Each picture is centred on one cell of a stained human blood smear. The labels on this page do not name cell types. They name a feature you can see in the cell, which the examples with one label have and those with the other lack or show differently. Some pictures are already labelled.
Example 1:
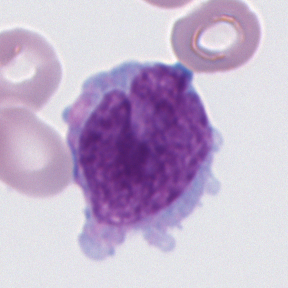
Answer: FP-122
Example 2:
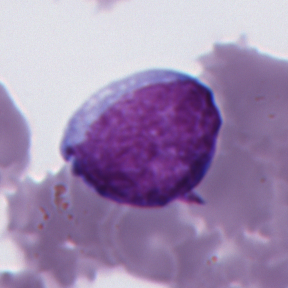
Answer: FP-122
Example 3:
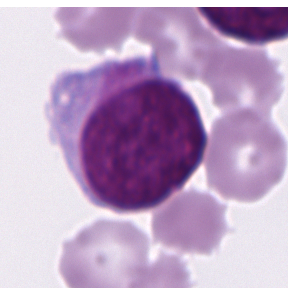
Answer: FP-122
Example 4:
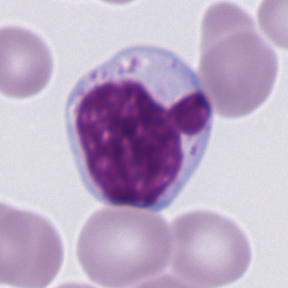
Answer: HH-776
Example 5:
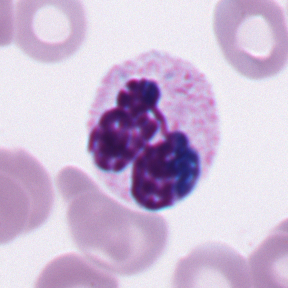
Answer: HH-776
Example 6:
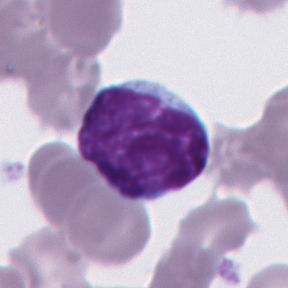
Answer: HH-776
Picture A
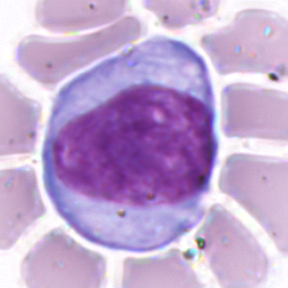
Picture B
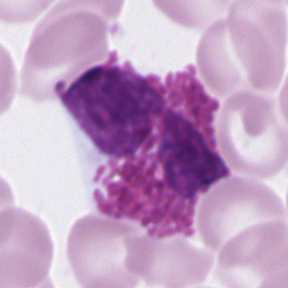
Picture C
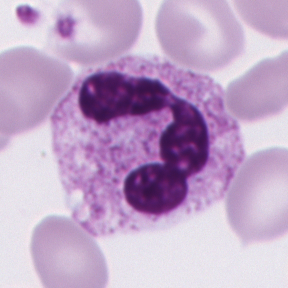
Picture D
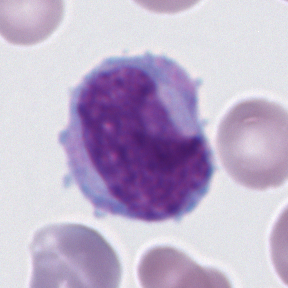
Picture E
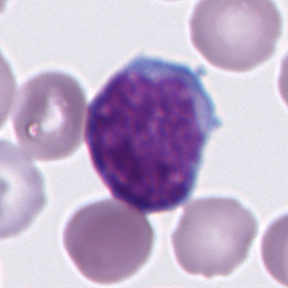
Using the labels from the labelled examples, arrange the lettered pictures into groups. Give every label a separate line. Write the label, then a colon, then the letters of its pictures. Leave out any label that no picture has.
FP-122: B, C, D, E
HH-776: A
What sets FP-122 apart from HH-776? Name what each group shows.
In FP-122: ragged outline or projections. In HH-776: smooth outline.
